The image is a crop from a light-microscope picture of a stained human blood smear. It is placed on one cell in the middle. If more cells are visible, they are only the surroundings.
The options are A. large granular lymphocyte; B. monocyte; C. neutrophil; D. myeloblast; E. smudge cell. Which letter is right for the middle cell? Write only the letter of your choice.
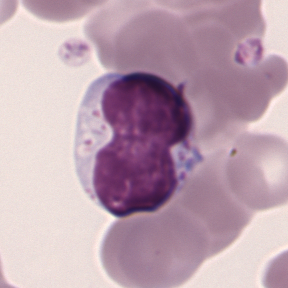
A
